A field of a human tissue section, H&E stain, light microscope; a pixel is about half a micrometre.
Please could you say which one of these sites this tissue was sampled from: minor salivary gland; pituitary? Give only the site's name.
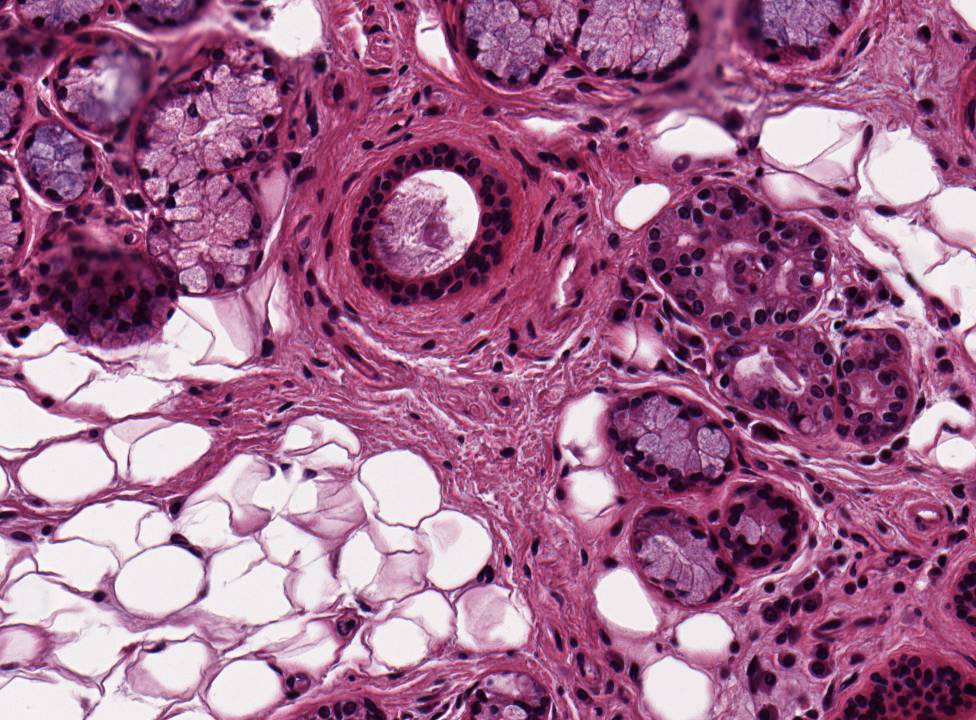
minor salivary gland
